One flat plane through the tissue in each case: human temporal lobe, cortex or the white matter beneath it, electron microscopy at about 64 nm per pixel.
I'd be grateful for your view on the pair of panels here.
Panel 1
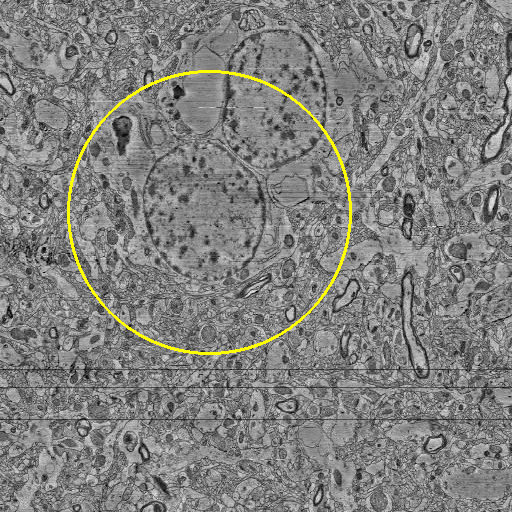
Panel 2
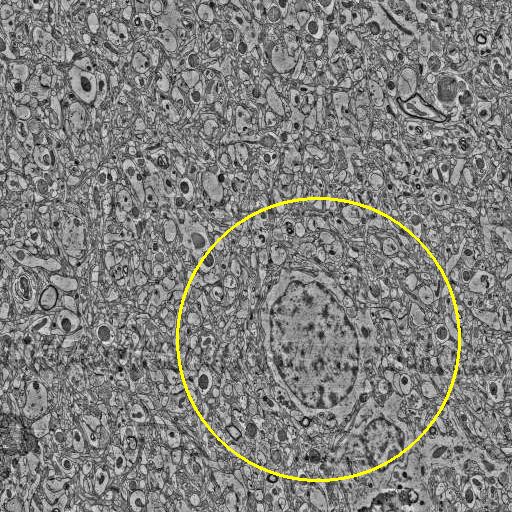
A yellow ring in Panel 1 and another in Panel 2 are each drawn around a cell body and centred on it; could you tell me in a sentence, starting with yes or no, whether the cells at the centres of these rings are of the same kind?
Yes, they are the same kind of cell.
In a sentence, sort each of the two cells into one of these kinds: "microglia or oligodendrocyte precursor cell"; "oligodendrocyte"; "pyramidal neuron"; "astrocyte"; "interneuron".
Each of the two pictures has an astrocyte at the ring centre.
